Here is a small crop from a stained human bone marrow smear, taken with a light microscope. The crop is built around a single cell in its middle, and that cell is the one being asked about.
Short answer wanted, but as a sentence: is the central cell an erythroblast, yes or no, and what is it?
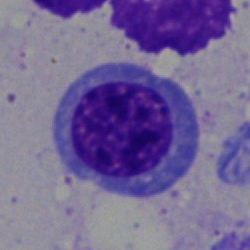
Yes, the cell lying in the centre of the crop is identified as an erythroblast.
